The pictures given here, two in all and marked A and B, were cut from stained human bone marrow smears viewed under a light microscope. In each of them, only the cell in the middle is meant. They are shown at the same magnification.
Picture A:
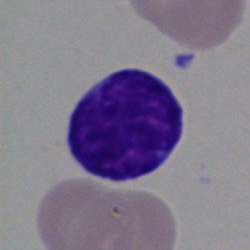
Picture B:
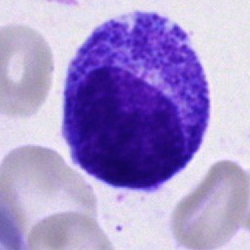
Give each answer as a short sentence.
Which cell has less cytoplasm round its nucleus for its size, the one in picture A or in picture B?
In picture A the nucleus takes up the larger part of its cell.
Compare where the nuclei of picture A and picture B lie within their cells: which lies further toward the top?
In picture A the nucleus is shifted more toward the top.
